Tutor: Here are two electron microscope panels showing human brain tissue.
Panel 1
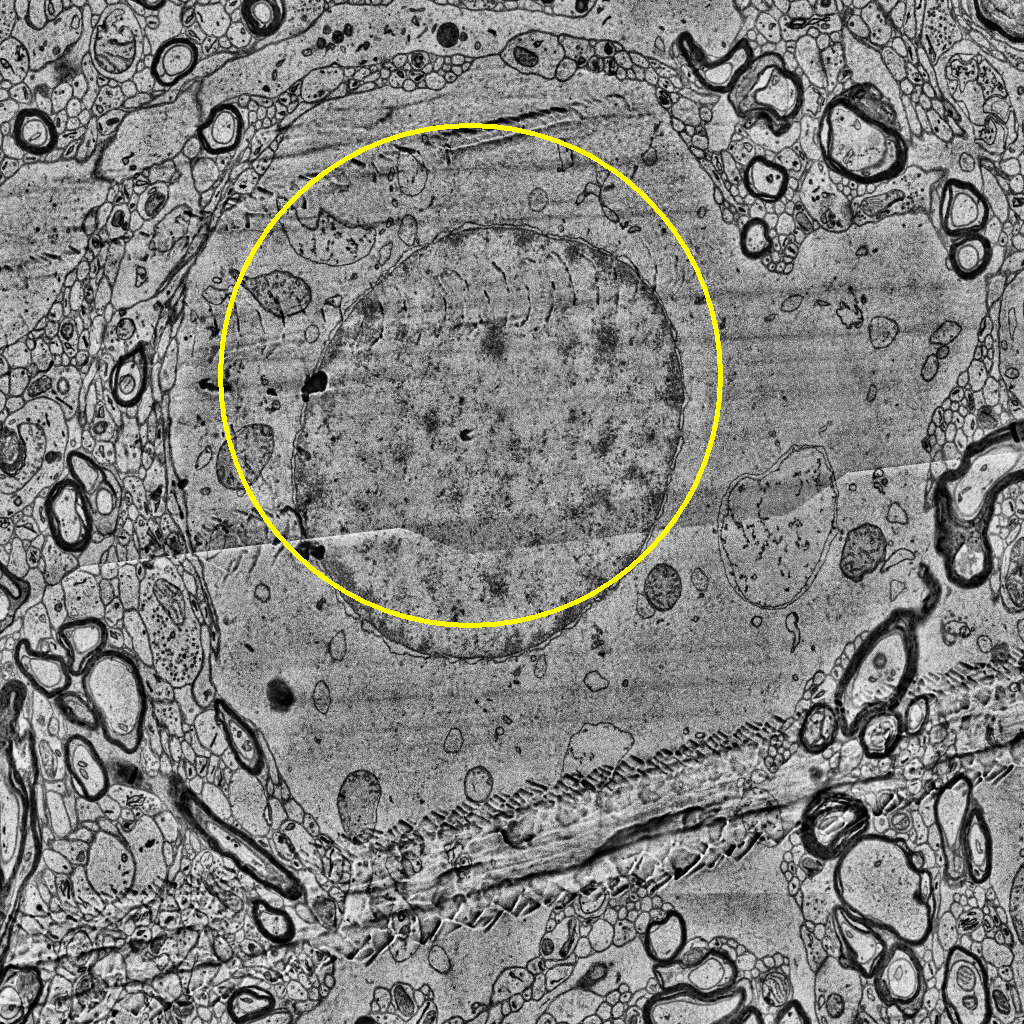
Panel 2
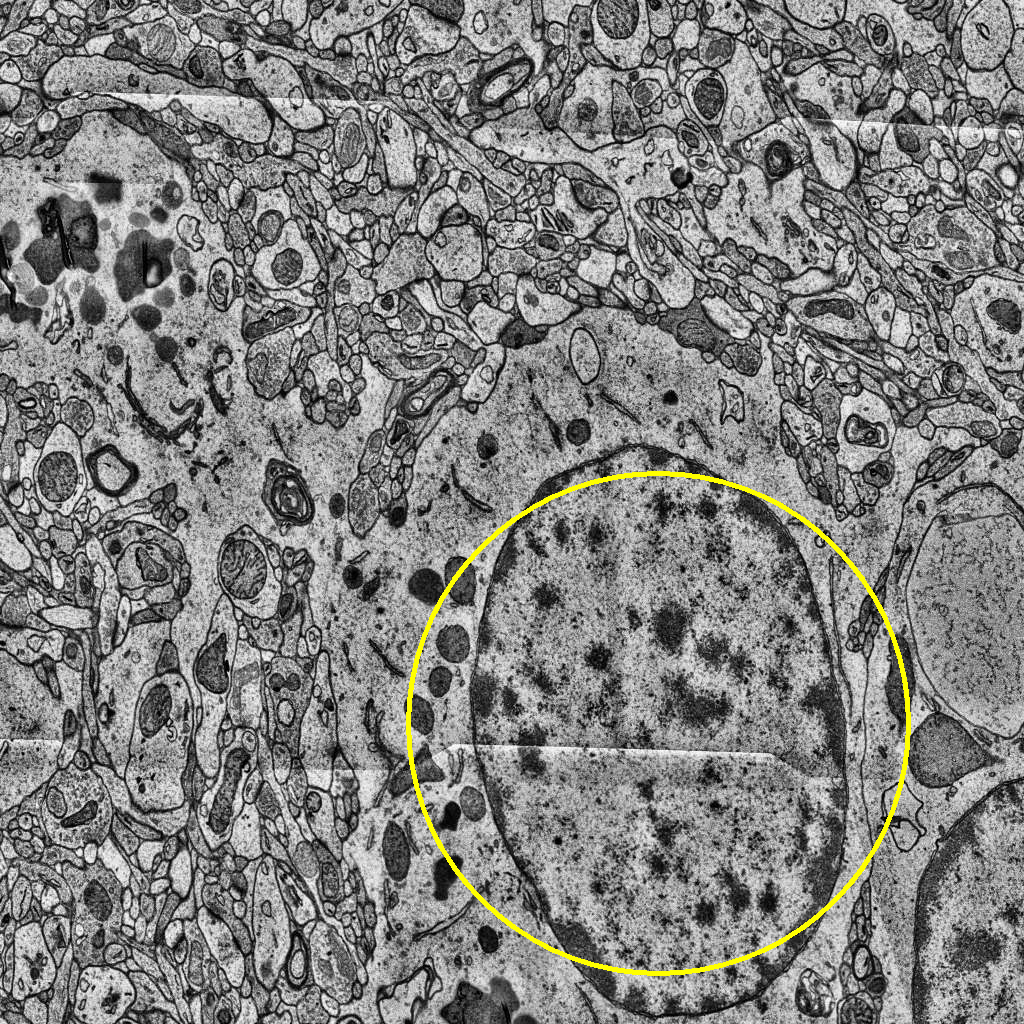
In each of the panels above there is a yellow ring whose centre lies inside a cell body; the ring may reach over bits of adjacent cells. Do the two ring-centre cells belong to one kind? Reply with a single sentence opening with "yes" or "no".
Yes, the two cells lying at the ring centres in the panels belong to one kind.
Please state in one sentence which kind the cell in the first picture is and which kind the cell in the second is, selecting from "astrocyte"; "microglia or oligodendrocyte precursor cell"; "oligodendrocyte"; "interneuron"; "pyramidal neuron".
Both pictures show an astrocyte at the centre of the ring.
